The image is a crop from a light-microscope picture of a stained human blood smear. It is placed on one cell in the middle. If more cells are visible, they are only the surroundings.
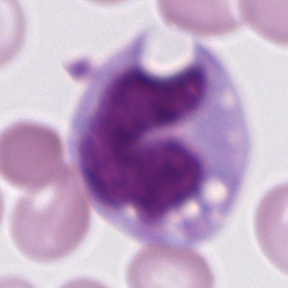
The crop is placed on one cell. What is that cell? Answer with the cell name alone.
monocyte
